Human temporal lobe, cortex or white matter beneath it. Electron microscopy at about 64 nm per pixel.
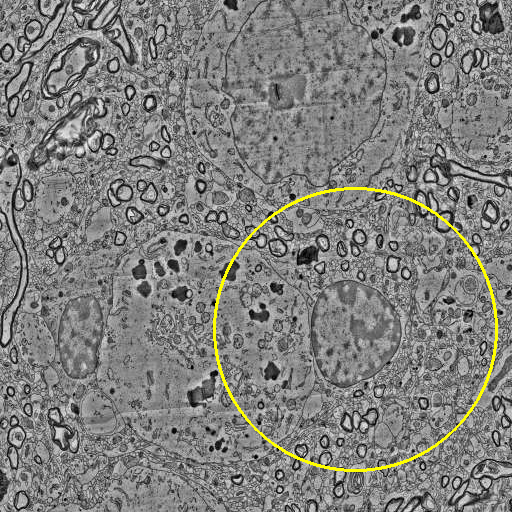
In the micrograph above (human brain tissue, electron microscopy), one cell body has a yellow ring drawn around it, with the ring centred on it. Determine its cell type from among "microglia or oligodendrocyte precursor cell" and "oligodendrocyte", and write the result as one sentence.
The cell whose body is ringed is a microglial cell or oligodendrocyte precursor cell.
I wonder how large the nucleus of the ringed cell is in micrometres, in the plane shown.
The nucleus comes to roughly 7 by 6 micrometres in this plane.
